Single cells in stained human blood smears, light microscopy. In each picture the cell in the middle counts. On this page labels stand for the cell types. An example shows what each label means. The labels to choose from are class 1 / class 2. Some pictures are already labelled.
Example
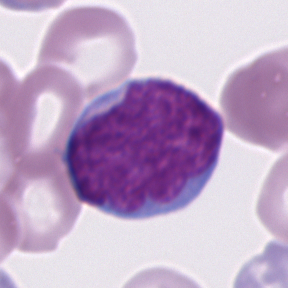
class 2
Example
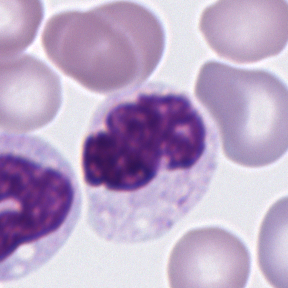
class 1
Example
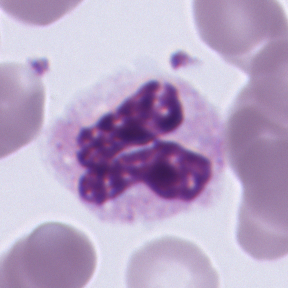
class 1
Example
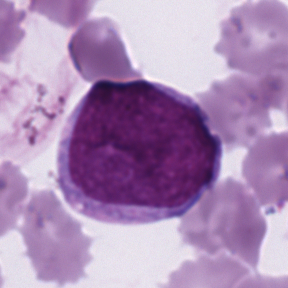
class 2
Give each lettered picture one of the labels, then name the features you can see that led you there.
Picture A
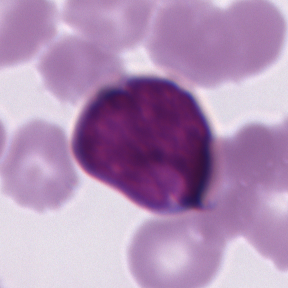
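class 2: The cytoplasm forms only a very thin rim around the nucleus.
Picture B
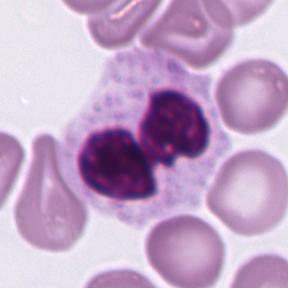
class 1: The left lobe of the nucleus sits lower than the right lobe.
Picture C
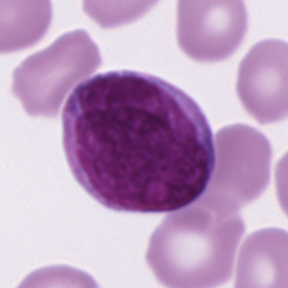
class 2: The cytoplasm forms only a thin rim around the nucleus.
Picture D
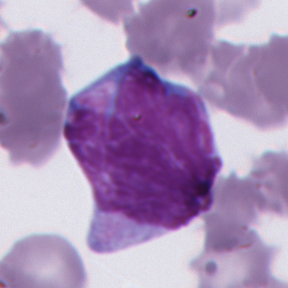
class 2: The cytoplasm is scant and pale grey-blue, seen mainly as a cap at the lower edge of the cell.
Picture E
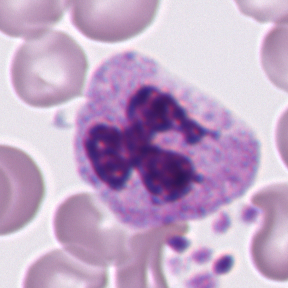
class 1: The cytoplasm is abundant and pale pinkish-lilac.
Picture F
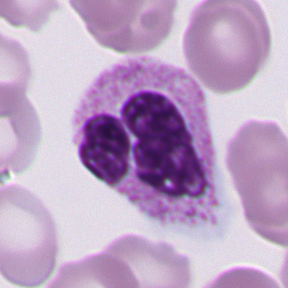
class 1: The granules are spread all around the nucleus rather than gathered at one side.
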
